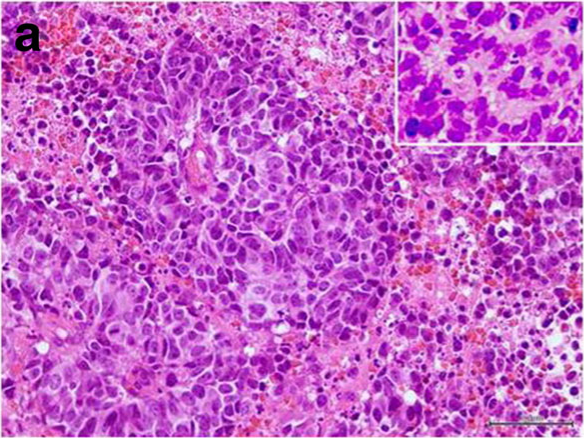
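A tumor made of solid sheets of small, crowded cells with scant pink cytoplasm is shown. Scattered cells with dark, condensed chromatin consistent with mitotic figures are present, and a higher-magnification inset at top right shows these dark nuclei. Red blood cells are scattered between the tumor cells in the upper left and right portions.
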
